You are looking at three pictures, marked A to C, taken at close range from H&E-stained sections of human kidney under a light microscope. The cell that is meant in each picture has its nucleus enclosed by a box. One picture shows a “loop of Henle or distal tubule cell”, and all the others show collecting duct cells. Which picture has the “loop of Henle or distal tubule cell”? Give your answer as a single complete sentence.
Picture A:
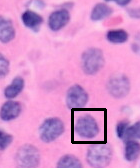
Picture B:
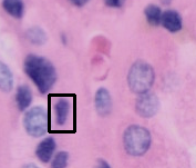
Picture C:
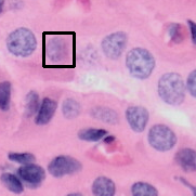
The cell in picture A is the “loop of Henle or distal tubule cell”.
